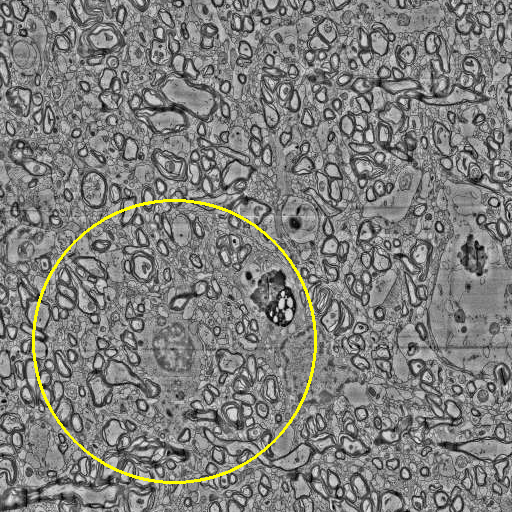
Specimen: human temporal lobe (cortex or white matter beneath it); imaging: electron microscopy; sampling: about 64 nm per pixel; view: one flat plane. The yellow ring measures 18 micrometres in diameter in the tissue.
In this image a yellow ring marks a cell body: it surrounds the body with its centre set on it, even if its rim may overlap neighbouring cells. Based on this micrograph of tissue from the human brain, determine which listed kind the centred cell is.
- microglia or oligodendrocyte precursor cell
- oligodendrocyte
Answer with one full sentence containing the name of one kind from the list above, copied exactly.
It is an oligodendrocyte whose body the yellow ring encloses at its centre.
